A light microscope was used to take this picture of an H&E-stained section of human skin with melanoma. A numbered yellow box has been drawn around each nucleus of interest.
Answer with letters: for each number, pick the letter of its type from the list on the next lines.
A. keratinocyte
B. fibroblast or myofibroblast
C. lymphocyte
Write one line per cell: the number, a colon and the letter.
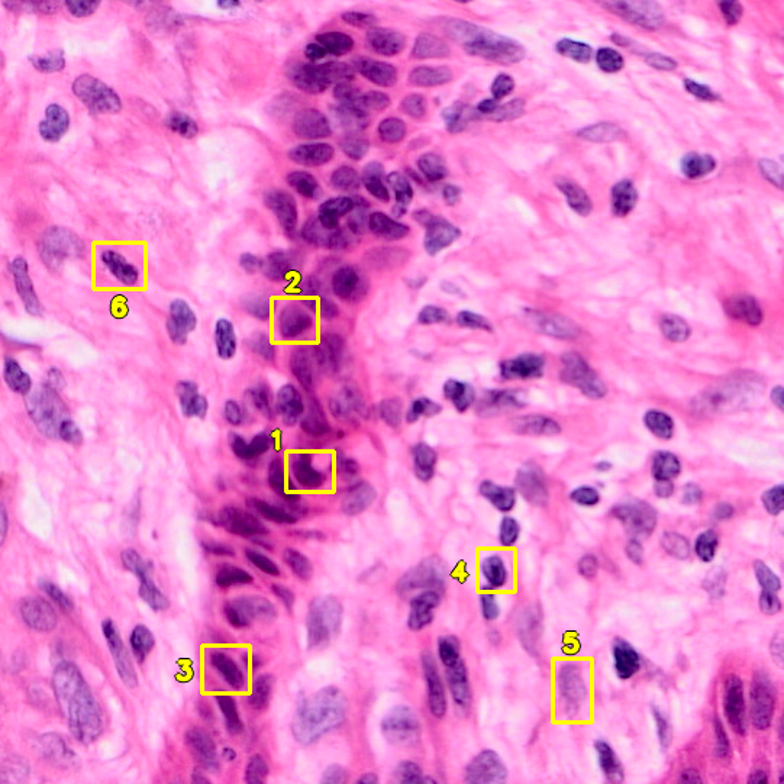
1: A
2: A
3: A
4: C
5: B
6: C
